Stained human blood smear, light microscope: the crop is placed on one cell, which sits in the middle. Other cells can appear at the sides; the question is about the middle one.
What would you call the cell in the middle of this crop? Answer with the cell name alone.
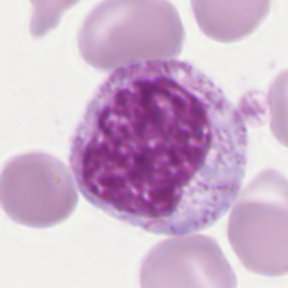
myelocyte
